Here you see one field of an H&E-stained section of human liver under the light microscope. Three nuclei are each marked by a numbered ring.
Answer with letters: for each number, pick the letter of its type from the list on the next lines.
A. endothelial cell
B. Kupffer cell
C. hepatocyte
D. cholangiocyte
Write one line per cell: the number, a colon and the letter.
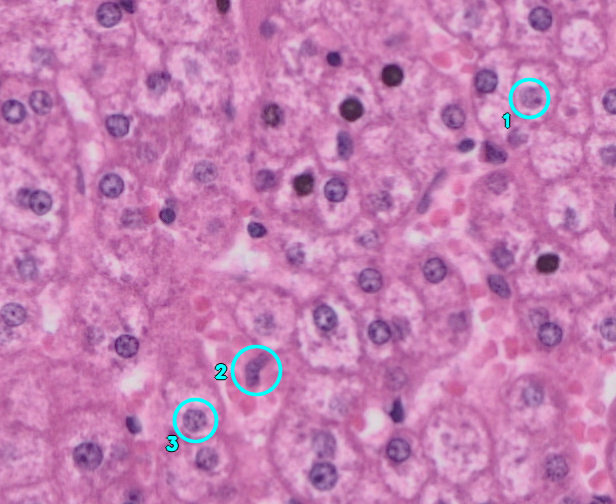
1: C
2: B
3: C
